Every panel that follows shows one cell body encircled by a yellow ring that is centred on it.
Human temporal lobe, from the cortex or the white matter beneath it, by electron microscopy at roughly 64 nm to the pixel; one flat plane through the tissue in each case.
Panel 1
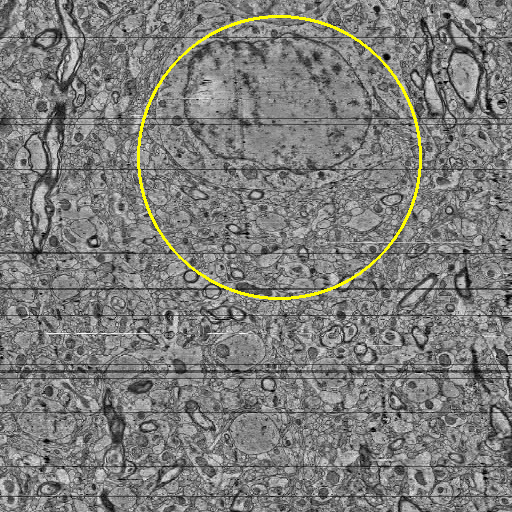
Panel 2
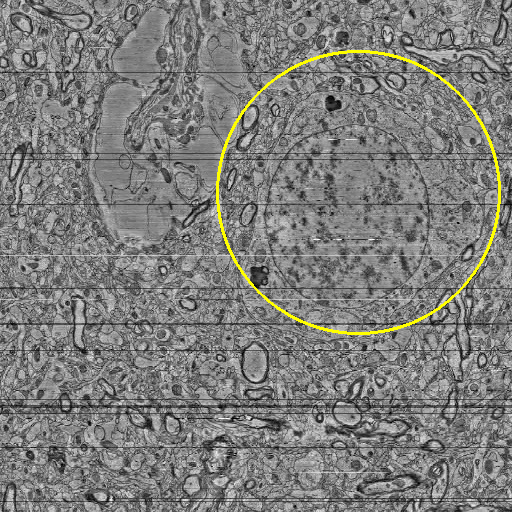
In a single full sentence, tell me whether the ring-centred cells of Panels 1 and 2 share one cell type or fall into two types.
In Panel 1 and Panel 2, the cells at the ring centres share one cell type.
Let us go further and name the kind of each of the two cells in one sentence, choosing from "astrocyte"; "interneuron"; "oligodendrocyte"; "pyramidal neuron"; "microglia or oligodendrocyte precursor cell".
In each picture the ringed cell is a pyramidal neuron.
